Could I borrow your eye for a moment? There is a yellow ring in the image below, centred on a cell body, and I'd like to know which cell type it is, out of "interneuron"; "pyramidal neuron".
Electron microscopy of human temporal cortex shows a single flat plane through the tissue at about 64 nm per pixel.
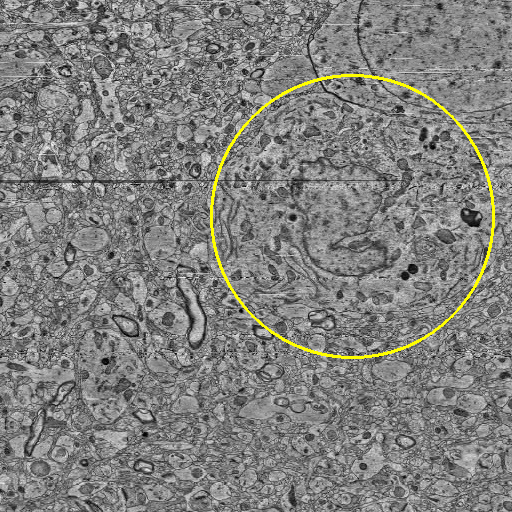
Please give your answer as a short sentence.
The cell body at the centre is that of an interneuron.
